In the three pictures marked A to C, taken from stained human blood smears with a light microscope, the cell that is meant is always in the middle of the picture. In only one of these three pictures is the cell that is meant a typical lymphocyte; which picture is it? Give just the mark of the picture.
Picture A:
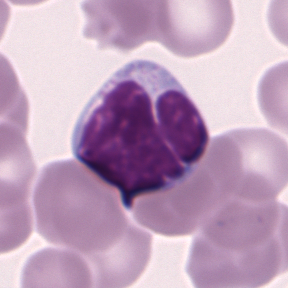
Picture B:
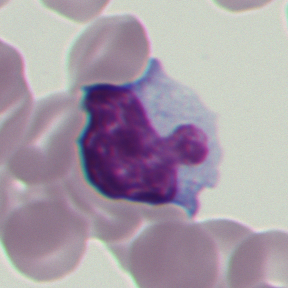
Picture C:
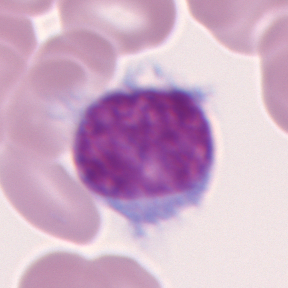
B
